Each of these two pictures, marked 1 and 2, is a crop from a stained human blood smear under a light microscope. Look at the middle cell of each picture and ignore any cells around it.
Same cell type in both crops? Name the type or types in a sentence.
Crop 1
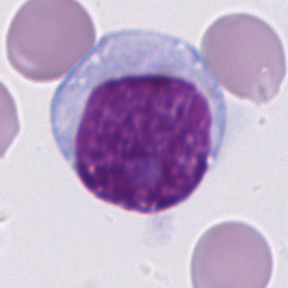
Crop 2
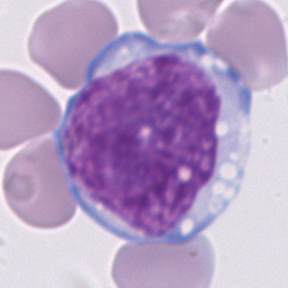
Yes, in short, both crops show blasts.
